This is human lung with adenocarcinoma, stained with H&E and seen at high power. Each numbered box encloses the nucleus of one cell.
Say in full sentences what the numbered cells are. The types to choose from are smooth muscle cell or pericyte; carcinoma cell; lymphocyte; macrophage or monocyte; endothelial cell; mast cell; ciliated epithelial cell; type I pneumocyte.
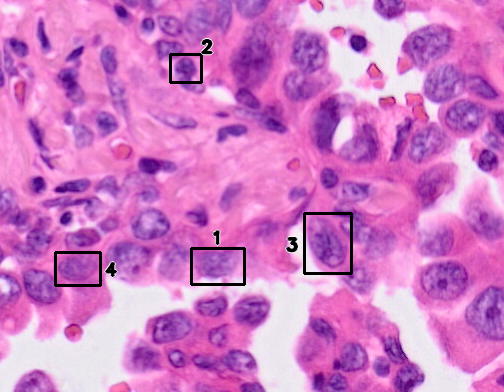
Cell 1 is a carcinoma cell, cell 2 is a lymphocyte, cell 3 is a carcinoma cell and cell 4 is a carcinoma cell.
